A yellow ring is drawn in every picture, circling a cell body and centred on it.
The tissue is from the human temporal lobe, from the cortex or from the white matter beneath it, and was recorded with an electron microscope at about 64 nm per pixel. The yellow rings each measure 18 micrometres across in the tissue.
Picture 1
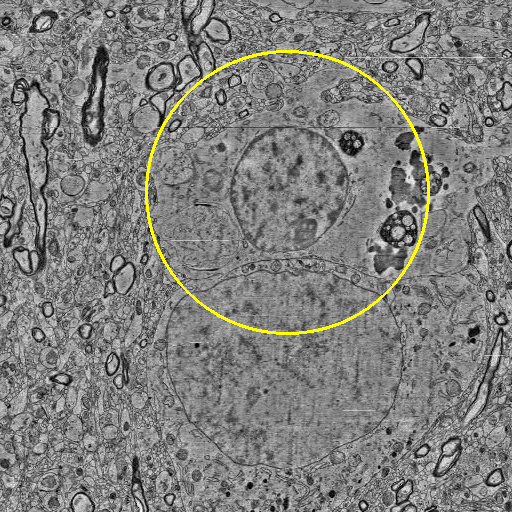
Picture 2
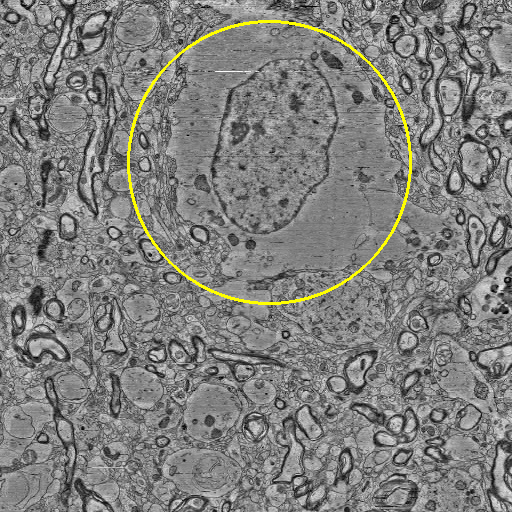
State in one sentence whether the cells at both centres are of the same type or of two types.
The cells at the two ring centres, one per picture, are of the same type.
